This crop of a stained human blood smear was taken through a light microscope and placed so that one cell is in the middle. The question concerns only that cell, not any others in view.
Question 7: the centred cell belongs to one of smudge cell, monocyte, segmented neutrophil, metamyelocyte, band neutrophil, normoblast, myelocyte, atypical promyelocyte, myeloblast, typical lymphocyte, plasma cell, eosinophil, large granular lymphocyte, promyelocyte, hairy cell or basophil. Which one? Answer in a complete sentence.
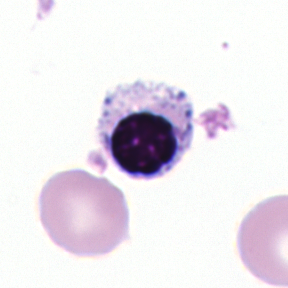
The centrally placed cell is classified as a normoblast.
